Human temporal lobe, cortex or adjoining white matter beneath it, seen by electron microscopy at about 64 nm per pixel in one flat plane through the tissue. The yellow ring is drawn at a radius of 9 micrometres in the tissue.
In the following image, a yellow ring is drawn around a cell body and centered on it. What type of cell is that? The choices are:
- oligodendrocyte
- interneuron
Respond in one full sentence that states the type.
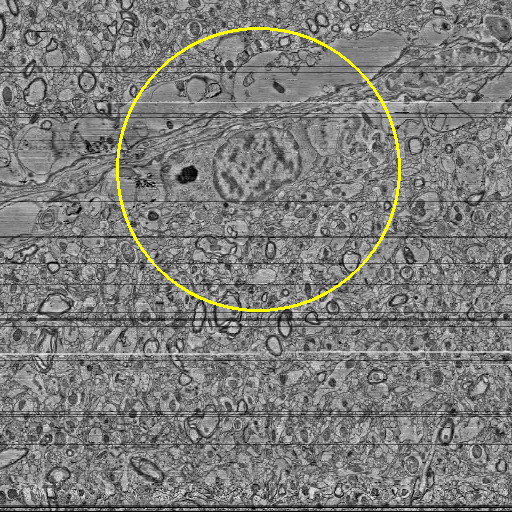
The cell at the center of the yellow ring in the image is an oligodendrocyte.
